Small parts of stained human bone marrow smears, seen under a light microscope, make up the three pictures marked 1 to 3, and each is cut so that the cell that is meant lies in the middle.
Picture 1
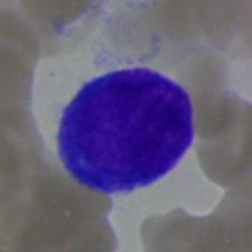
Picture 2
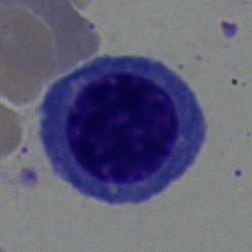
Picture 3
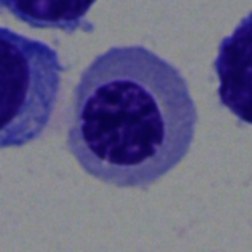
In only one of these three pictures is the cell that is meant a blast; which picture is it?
1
